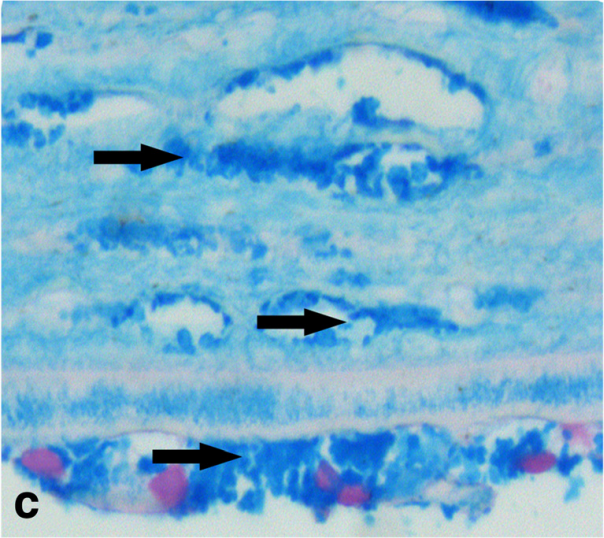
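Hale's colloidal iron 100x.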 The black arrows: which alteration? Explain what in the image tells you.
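Dark blue granular material borders clear clefts between the stromal lamellae. Dark blue granules also crowd the bottom cell layer. That points to this answer: granular deposits.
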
